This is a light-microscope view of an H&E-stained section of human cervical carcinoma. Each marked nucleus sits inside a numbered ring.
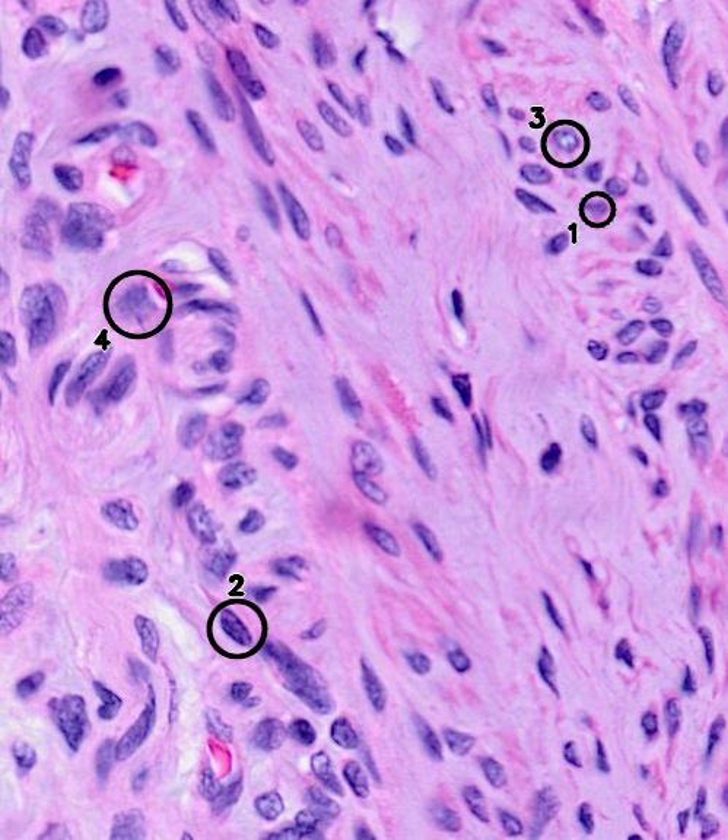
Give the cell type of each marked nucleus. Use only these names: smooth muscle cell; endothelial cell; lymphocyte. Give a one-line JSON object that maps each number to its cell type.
{"1": "smooth muscle cell", "2": "lymphocyte", "3": "smooth muscle cell", "4": "endothelial cell"}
